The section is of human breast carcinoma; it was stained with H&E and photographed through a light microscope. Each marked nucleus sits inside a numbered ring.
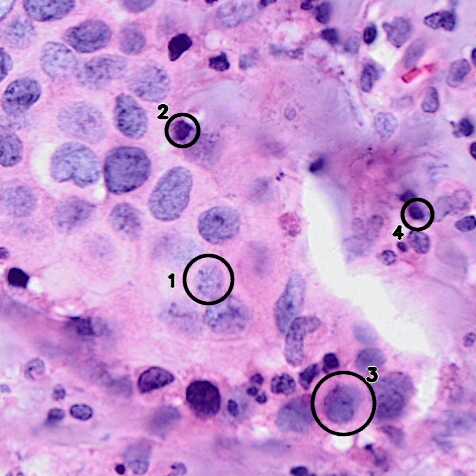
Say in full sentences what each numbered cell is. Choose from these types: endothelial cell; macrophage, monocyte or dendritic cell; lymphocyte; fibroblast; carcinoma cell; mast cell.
Cells 1, 2 and 3 are carcinoma cells. Cell 4 is a lymphocyte.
